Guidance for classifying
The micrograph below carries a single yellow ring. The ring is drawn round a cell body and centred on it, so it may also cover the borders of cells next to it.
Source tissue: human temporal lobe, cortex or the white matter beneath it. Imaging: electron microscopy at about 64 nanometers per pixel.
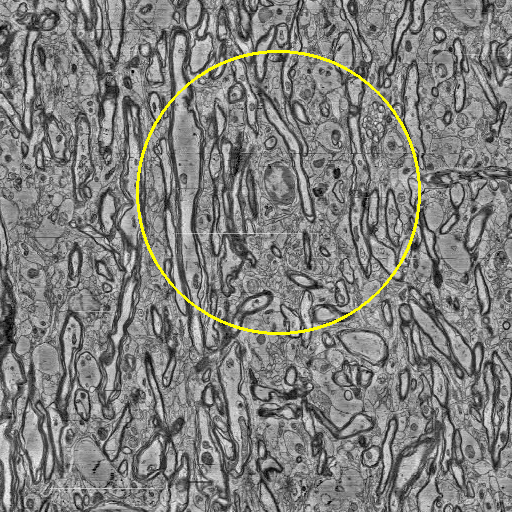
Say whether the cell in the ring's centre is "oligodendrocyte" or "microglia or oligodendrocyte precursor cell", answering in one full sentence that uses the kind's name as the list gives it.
Within the yellow ring, a microglial cell or oligodendrocyte precursor cell is the cell whose body sits at the centre.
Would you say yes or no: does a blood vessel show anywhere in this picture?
No, none is visible.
